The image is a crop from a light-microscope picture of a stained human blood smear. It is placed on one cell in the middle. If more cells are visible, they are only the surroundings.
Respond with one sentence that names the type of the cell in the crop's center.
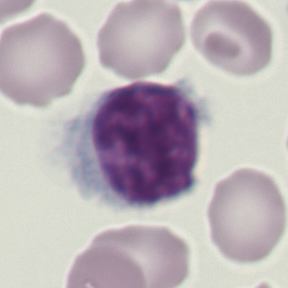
The identification for the central cell is a hairy cell.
